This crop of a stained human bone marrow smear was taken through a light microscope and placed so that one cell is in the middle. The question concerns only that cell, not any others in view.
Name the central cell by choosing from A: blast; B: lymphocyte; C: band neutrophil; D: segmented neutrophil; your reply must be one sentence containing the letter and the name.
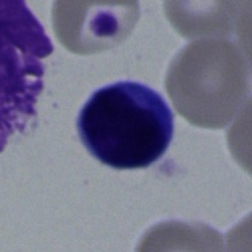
It is a lymphocyte that occupies the centre of the crop, so option B is correct.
